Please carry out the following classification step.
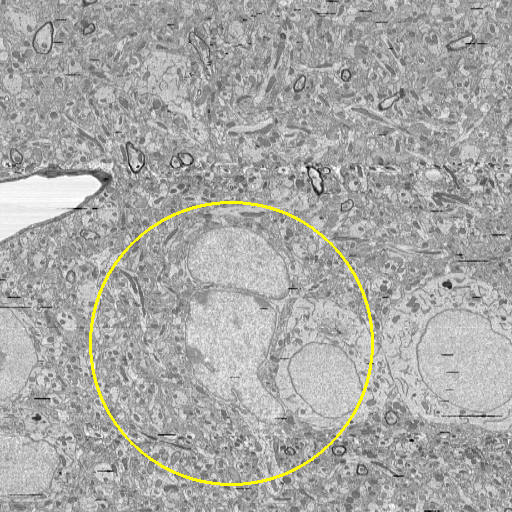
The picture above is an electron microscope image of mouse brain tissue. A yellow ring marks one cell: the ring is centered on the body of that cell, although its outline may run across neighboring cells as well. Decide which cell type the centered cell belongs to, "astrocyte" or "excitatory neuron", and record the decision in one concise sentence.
The cell centered in the yellow ring is an astrocyte.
